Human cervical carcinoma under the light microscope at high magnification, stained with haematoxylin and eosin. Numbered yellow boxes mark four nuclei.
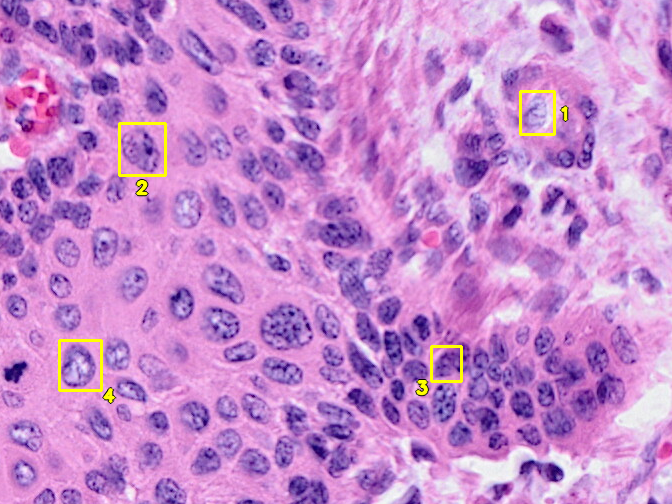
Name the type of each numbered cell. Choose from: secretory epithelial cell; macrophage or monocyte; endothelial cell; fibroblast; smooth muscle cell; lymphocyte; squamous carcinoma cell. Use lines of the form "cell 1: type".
cell 1: endothelial cell
cell 2: squamous carcinoma cell
cell 3: squamous carcinoma cell
cell 4: squamous carcinoma cell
